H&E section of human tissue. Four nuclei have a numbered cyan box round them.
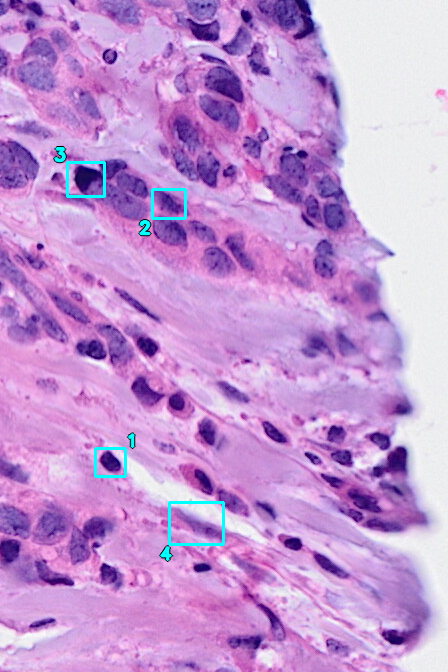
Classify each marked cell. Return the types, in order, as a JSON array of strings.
["lymphocyte", "carcinoma cell", "carcinoma cell", "fibroblast"]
